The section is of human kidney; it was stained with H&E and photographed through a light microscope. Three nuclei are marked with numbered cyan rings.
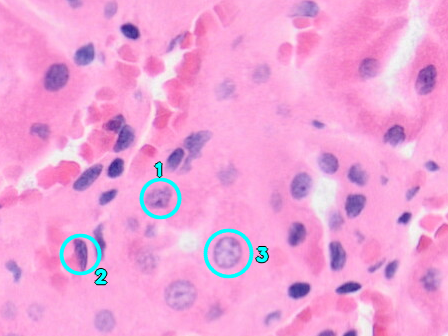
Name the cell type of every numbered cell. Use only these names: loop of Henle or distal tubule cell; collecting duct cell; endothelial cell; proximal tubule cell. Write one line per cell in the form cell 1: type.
cell 1: proximal tubule cell
cell 2: endothelial cell
cell 3: proximal tubule cell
